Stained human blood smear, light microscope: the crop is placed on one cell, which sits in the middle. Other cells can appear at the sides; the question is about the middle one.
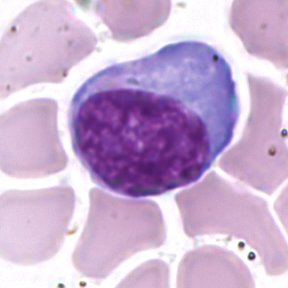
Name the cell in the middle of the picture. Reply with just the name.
plasma cell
